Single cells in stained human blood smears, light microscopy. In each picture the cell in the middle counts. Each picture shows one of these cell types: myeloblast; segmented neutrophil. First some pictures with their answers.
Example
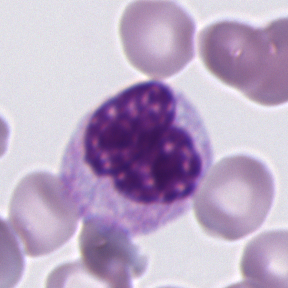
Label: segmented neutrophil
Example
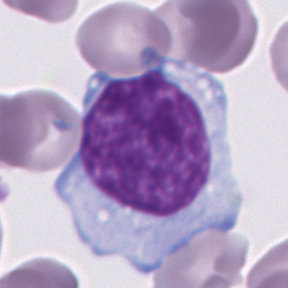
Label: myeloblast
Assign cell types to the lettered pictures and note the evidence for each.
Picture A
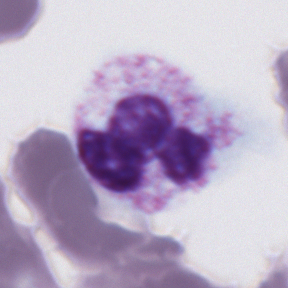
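segmented neutrophil. Reason: The cytoplasm is plentiful and nearly colourless between the granules.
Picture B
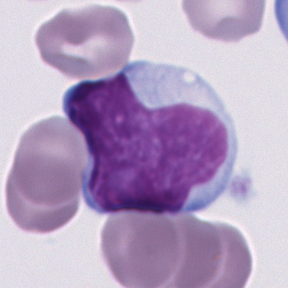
myeloblast. Reason: The nucleus fills most of the cell.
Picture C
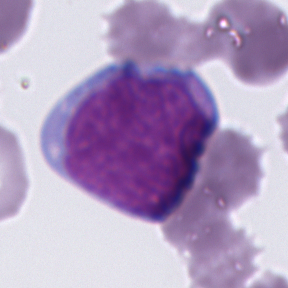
myeloblast. Reason: The cytoplasm forms a narrow crescent that is widest on the left side of the cell.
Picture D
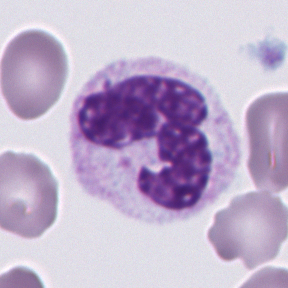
segmented neutrophil. Reason: The cytoplasm is abundant and pale pinkish-lilac.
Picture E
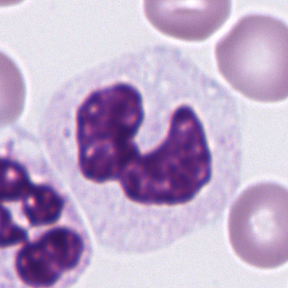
segmented neutrophil. Reason: The cytoplasm is abundant and pale greyish-lilac.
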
